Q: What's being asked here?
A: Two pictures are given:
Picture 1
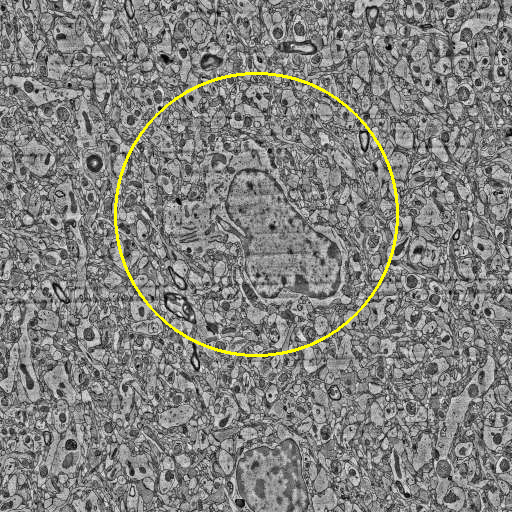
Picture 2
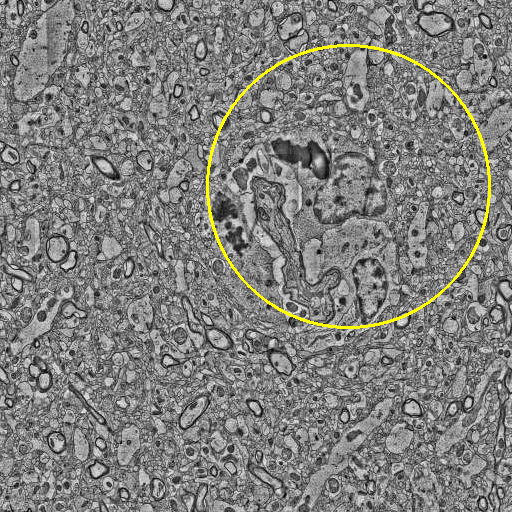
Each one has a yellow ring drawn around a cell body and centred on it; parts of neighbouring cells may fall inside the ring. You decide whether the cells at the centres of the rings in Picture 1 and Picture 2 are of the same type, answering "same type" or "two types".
two types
